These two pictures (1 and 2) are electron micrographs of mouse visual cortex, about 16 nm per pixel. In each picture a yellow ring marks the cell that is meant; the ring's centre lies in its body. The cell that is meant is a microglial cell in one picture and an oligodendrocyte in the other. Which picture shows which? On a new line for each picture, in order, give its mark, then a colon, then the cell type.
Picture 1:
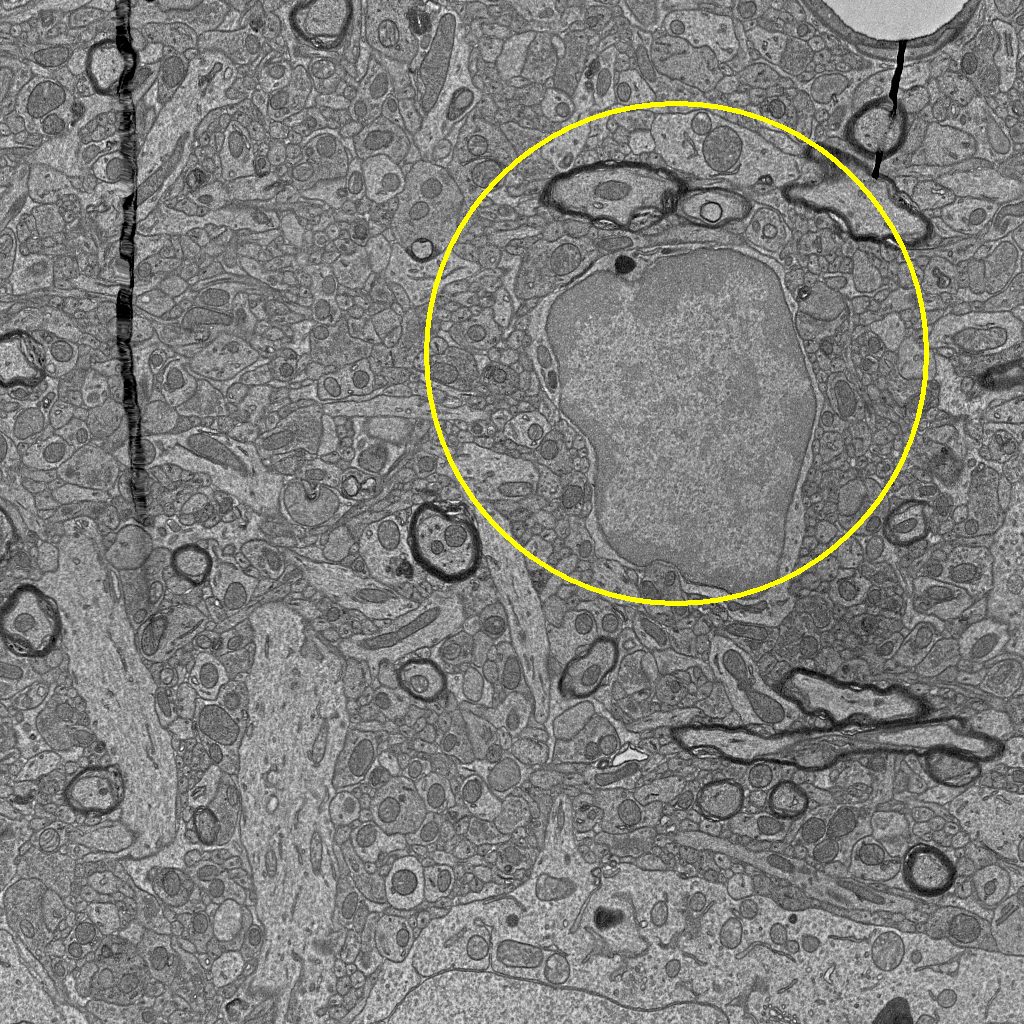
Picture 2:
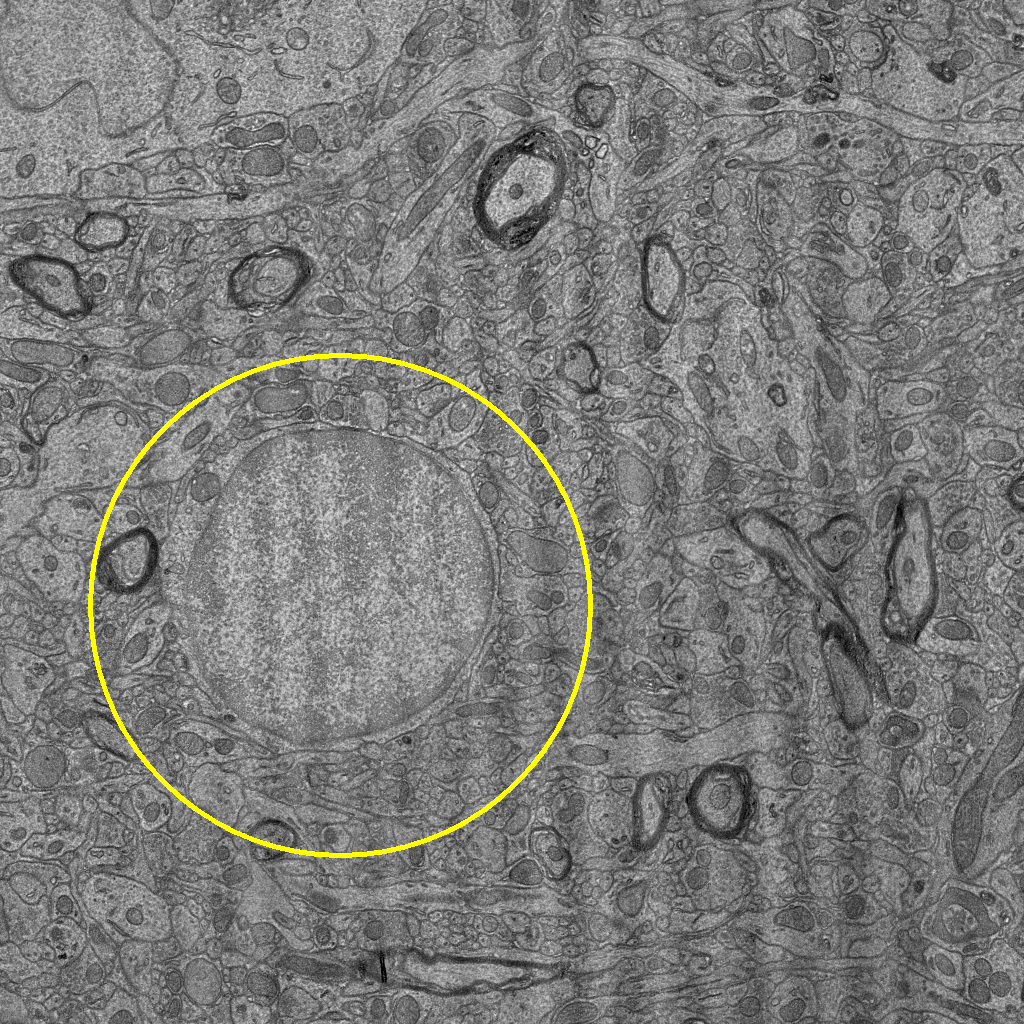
1: microglial cell
2: oligodendrocyte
